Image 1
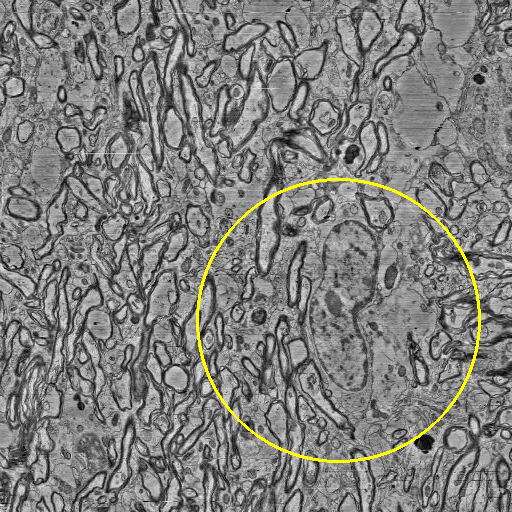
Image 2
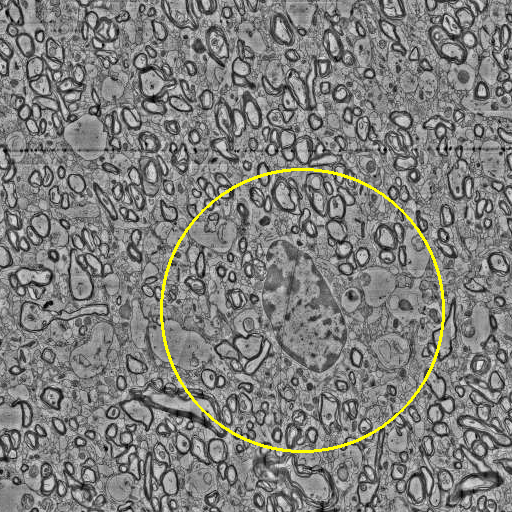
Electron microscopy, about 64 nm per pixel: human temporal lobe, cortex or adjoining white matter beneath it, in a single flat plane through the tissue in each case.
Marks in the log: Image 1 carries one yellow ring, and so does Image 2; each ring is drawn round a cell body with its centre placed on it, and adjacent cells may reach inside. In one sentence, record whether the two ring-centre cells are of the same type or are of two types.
The two cells at the ring centres, one in each image, are of the same type.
